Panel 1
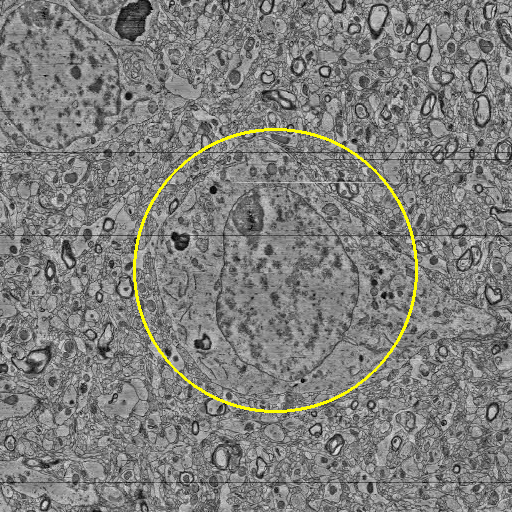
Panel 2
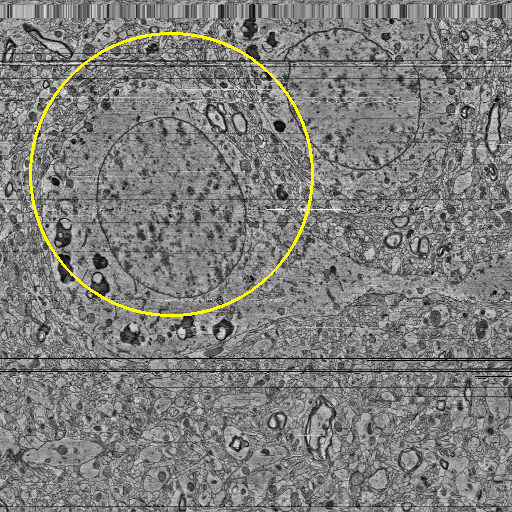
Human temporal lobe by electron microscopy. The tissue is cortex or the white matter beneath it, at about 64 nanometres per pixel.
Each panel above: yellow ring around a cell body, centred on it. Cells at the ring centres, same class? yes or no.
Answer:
yes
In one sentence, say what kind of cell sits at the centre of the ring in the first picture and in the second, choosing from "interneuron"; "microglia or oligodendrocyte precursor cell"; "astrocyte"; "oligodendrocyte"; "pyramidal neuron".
Both the first and the second picture show a pyramidal neuron in the ring.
